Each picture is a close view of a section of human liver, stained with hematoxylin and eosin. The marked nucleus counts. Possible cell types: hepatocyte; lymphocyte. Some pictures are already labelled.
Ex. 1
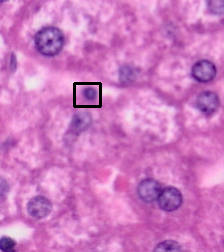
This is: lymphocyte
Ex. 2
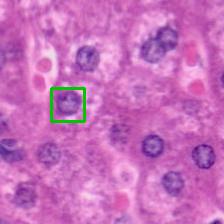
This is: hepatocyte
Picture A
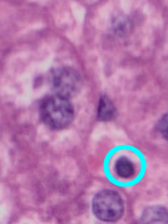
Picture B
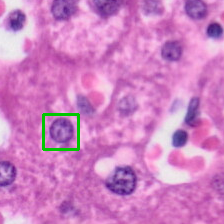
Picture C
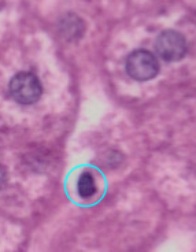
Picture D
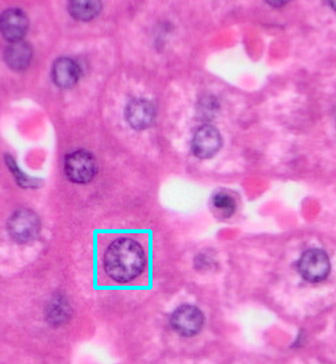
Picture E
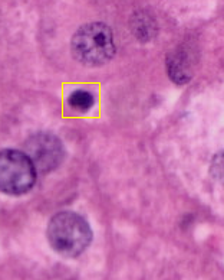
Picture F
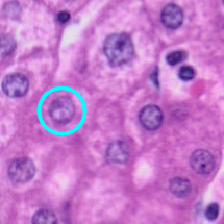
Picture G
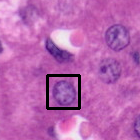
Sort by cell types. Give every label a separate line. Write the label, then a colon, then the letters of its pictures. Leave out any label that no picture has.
hepatocyte: B, D, F, G
lymphocyte: A, C, E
